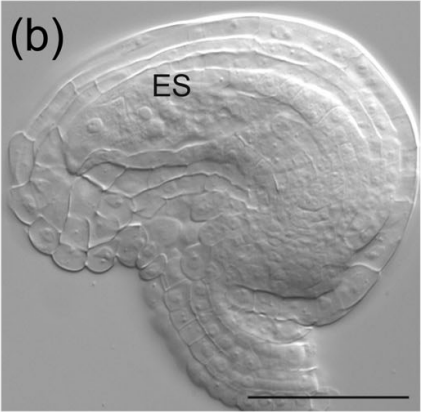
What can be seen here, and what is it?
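Mature ovule with a curved, bent form, seen in relief contrast. Several layers of flattened, elongated cells wrap around the inner tissue and follow its curve. A large, elongated embryo sac lies in the centre and runs along the bend of the ovule under these layers. At the lower right a stalk of small cells leaves the ovule. The cells of the outer layers show rounded nuclei.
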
